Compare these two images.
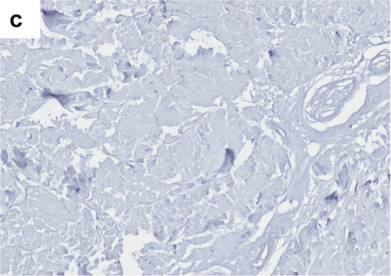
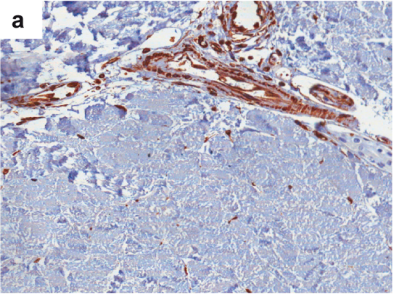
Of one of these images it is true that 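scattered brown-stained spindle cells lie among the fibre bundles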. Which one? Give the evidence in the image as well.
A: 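The second image. First image: the matrix is uniformly pale blue with no brown-stained cells. Second image: many small brown spindle cells are scattered through the matrix and crowd around vessels.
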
